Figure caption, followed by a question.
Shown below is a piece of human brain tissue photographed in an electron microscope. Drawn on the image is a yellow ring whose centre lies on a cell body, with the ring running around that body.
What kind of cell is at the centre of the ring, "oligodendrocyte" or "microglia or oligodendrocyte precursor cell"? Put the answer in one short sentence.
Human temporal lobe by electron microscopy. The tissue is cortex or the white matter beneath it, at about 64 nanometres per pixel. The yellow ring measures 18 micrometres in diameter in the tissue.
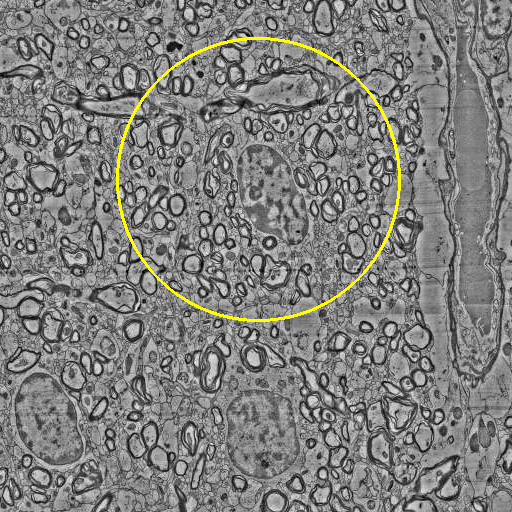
The ring marks the cell body of a microglial cell or oligodendrocyte precursor cell.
